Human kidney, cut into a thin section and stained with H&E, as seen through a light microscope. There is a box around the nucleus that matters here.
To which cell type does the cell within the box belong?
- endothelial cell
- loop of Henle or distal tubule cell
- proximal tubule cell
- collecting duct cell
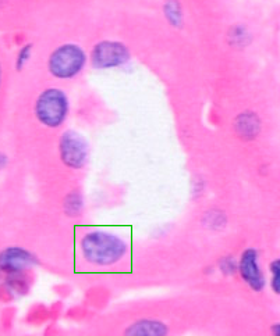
loop of Henle or distal tubule cell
